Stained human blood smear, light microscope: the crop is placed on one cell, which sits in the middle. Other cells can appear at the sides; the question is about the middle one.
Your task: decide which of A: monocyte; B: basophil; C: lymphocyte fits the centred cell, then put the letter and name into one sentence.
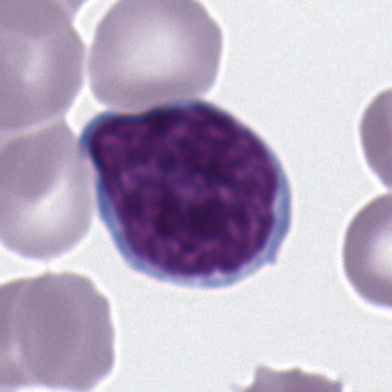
Identified correctly by option C, the cell in the middle is a lymphocyte.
